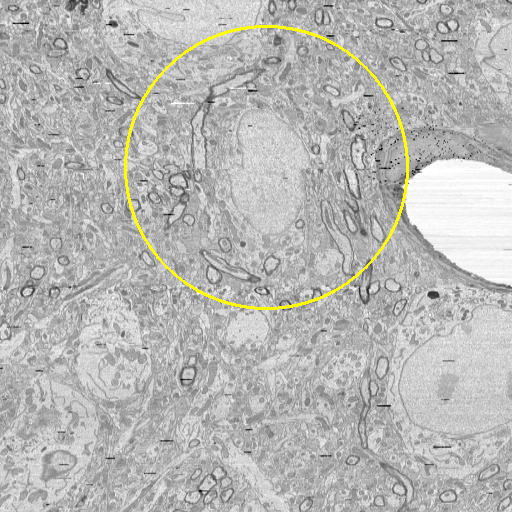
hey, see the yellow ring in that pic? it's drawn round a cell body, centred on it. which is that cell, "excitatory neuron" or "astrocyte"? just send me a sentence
The cell in the ring is an astrocyte.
